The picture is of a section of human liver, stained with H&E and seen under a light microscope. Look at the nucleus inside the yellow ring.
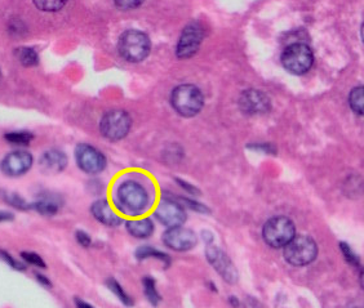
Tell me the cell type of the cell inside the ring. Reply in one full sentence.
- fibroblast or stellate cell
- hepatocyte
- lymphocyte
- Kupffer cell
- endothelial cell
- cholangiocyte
In cellular terms, the cell inside the ring is a cholangiocyte.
